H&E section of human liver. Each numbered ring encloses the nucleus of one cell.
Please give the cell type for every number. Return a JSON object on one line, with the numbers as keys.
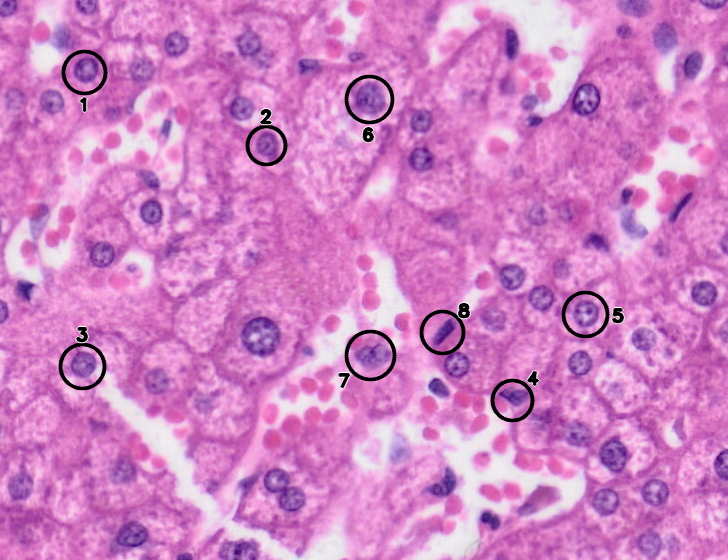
{"1": "hepatocyte", "2": "hepatocyte", "3": "hepatocyte", "4": "endothelial cell", "5": "hepatocyte", "6": "hepatocyte", "7": "Kupffer cell", "8": "fibroblast or stellate cell"}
